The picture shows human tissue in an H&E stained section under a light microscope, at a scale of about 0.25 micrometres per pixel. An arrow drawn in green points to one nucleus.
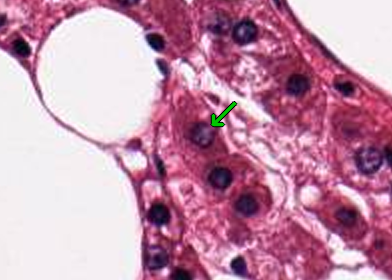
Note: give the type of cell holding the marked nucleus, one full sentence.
The marked nucleus here is the nucleus of an adrenal cortical cell.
